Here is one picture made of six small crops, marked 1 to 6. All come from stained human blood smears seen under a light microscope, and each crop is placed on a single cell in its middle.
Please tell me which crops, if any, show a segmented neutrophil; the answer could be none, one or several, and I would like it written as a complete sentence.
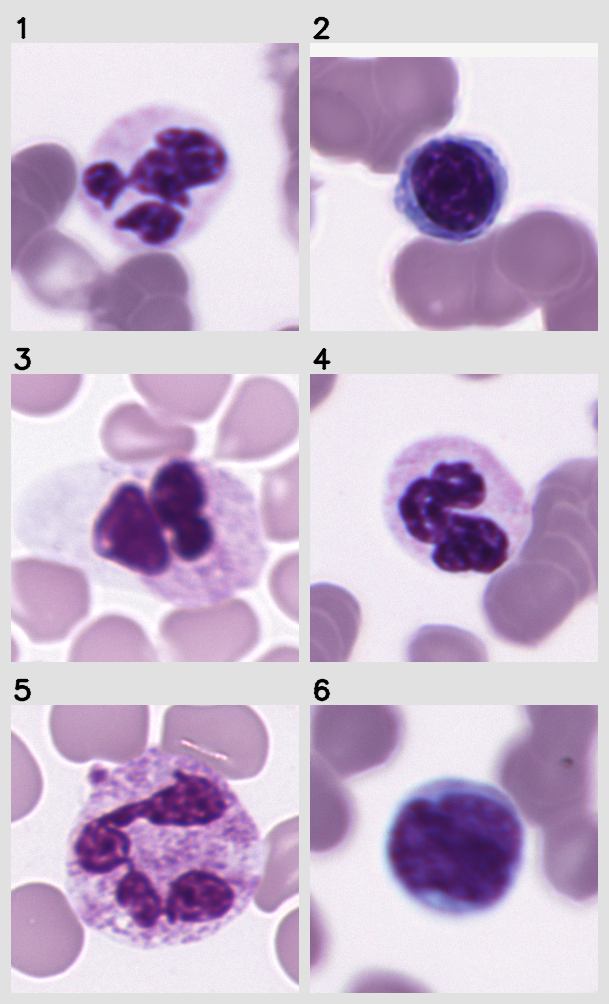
Crops 1, 3, 4 and 5 are the crops whose central cells are segmented neutrophils.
